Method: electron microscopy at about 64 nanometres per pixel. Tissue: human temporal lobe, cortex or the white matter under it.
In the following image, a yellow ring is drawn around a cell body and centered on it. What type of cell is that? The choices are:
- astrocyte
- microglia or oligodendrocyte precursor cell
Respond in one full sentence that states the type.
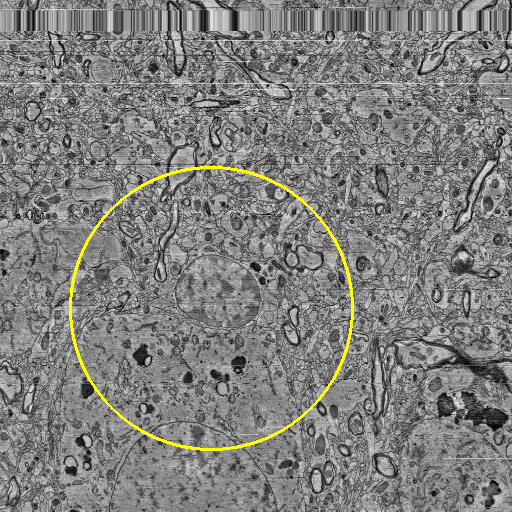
The cell at the center of the yellow ring in the image is a microglial cell or oligodendrocyte precursor cell.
